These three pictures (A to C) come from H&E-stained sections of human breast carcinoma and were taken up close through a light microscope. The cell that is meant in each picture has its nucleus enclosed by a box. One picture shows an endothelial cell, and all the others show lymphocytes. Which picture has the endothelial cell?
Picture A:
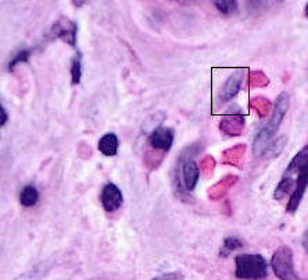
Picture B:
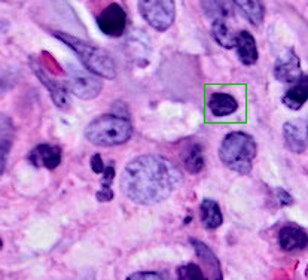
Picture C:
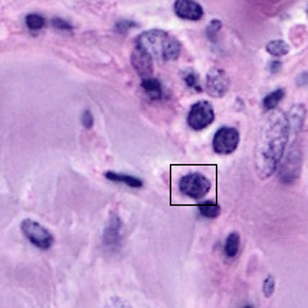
A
